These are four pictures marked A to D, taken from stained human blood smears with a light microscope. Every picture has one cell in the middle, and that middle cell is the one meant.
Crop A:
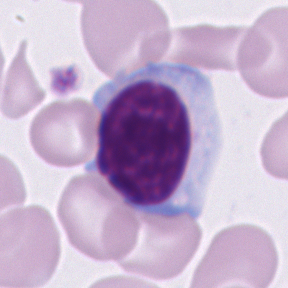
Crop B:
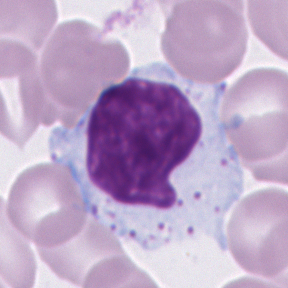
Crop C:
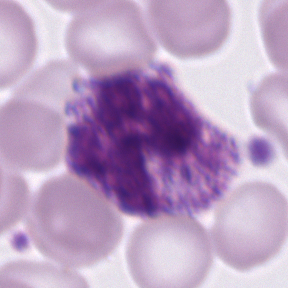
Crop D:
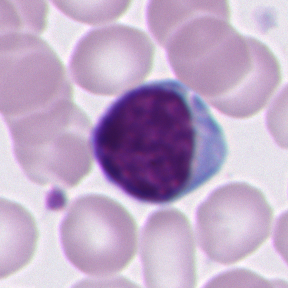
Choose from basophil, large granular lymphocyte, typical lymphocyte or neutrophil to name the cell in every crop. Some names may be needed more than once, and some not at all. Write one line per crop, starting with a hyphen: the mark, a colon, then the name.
- A: typical lymphocyte
- B: large granular lymphocyte
- C: basophil
- D: typical lymphocyte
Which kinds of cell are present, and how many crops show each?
typical lymphocyte: 2
large granular lymphocyte: 1
basophil: 1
